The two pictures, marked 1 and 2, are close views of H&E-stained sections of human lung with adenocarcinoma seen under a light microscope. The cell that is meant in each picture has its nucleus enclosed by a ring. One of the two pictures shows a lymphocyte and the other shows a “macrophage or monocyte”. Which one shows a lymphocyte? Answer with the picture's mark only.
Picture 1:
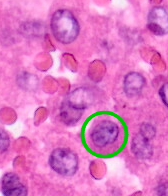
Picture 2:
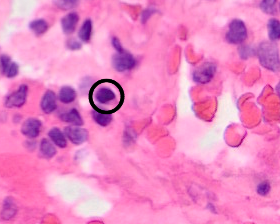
2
